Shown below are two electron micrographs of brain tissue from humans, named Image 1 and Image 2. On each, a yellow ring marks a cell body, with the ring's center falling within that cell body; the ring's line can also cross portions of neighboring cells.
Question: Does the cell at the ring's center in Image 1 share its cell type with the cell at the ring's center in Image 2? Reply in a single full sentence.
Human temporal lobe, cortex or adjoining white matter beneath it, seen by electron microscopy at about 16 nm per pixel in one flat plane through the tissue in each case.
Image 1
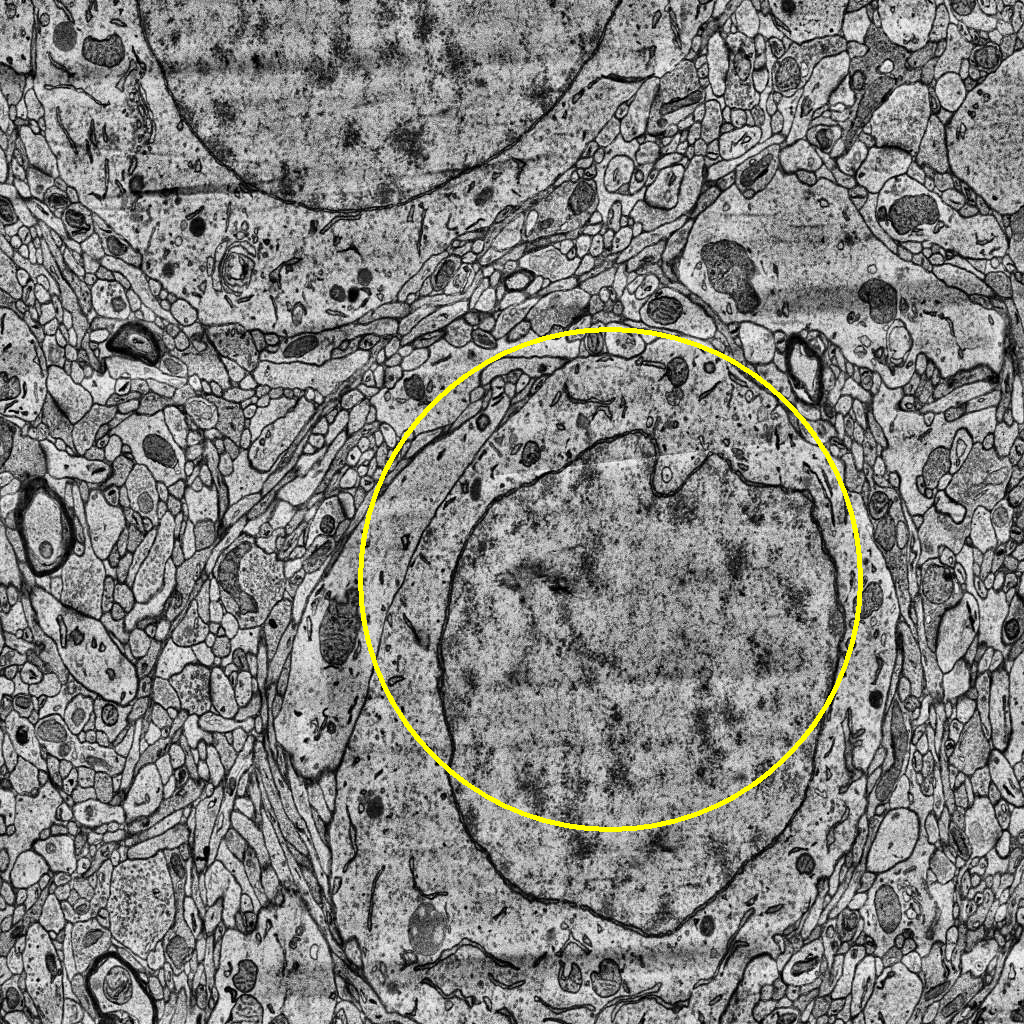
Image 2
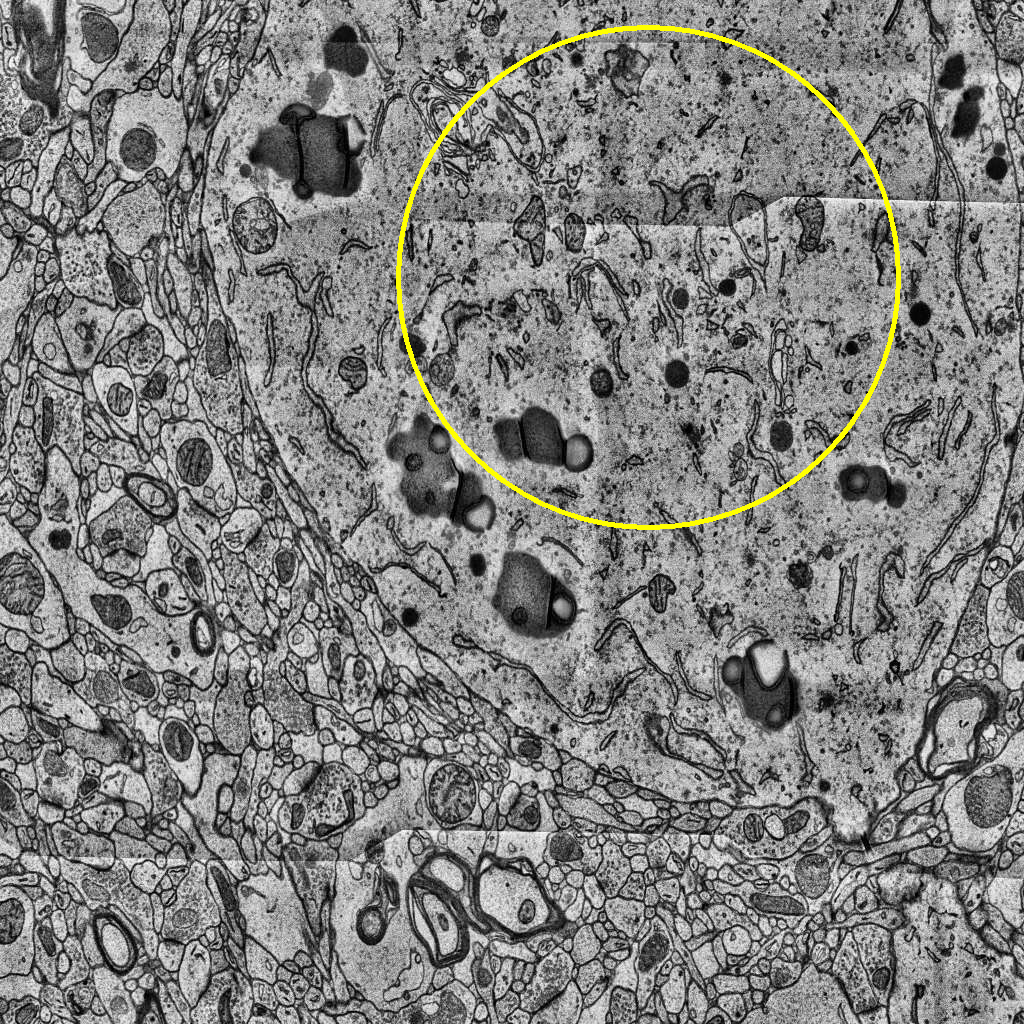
Yes, the two cells at the ring centers, in Image 1 and Image 2, share one cell type.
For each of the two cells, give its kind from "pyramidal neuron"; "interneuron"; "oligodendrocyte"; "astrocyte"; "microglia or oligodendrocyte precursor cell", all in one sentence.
The ring centre holds a pyramidal neuron in each of the two pictures.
